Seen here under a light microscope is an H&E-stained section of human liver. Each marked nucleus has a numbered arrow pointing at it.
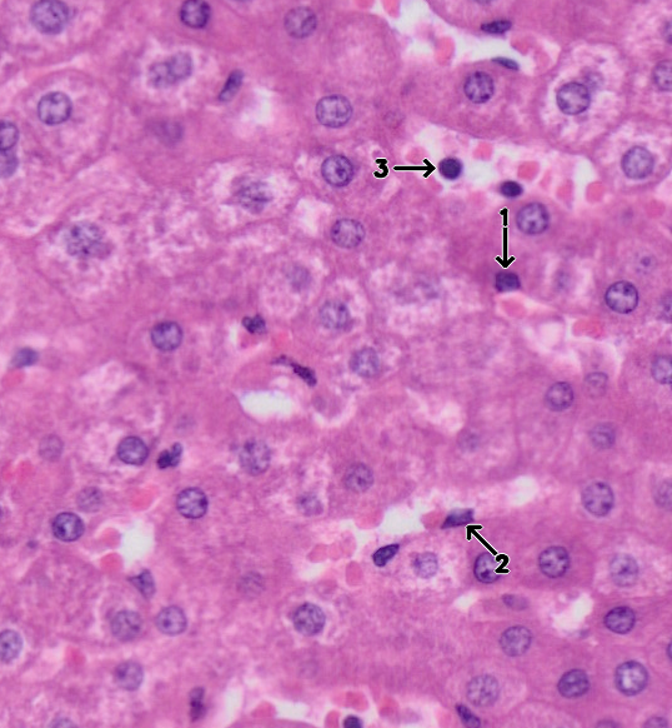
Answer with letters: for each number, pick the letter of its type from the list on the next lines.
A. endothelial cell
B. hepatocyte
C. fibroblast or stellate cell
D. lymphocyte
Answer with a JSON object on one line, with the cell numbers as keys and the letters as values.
{"1": "C", "2": "A", "3": "D"}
